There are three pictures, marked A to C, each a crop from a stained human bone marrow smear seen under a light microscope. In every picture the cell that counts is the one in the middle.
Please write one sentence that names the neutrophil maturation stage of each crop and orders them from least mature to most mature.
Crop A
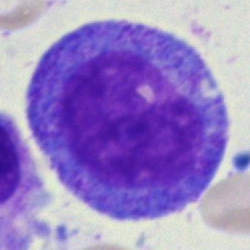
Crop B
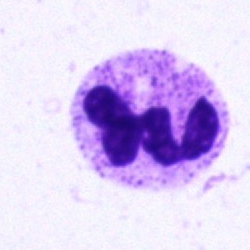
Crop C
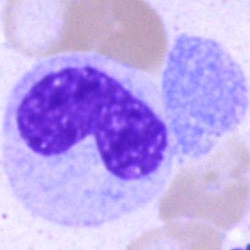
In rising order of maturity, the crops are crop A (a promyelocyte), crop C (a metamyelocyte) and crop B (a segmented neutrophil).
